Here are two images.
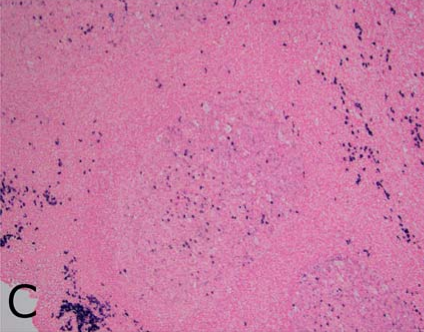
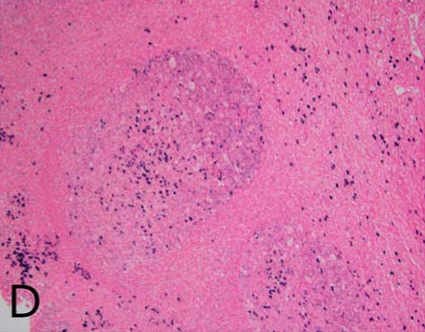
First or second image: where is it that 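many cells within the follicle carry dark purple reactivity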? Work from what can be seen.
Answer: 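First image: only scattered dark purple cells lie within the rounded follicle. Second image: the rounded follicle holds many dark purple cells, crowded toward one side. That points to this answer: the second image.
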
